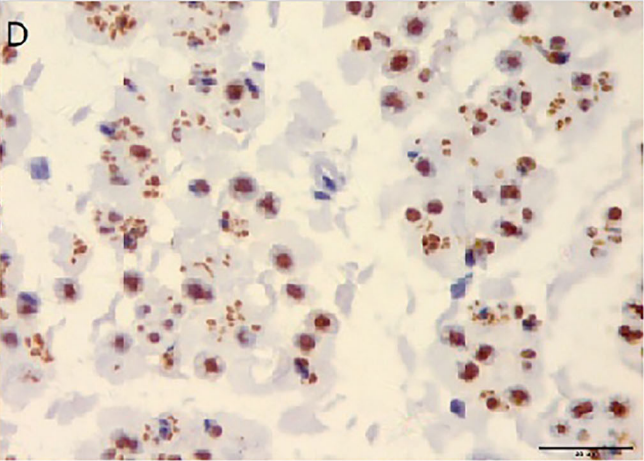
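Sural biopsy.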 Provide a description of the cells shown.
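At high magnification this nerve cross-section shows axons as brown profiles in a pale background. Some brown profiles are larger and round, each surrounded by a pale halo, while many smaller brown dots lie in loose groups between them. Scattered elongated blue nuclei lie among the fibers.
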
